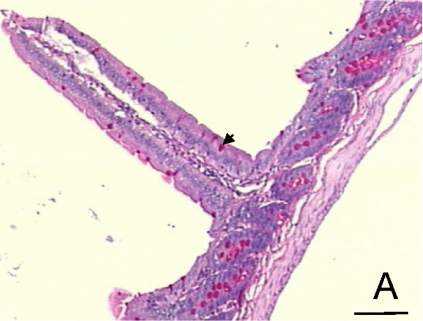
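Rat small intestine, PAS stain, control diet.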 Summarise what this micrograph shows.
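The villus is covered by a single layer of tall columnar epithelial cells with purple-stained elongated nuclei, surrounding a narrow core of loose connective tissue. Scattered among the epithelial cells are goblet cells whose contents stain bright magenta-red; these are more numerous in the crypt region near the base, where they lie in groups. A thin band of smooth muscle and connective tissue runs along the outer edge of the section.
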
